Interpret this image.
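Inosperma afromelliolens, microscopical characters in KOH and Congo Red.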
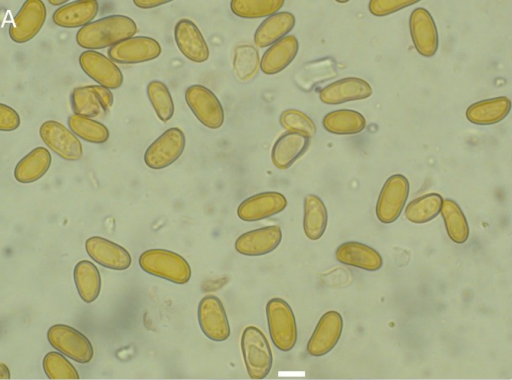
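These are basidiospores of a mushroom, scattered singly across the field. They are smooth and ellipsoid to somewhat bean-shaped, all of similar size, with distinct yellowish-brown walls. Many hold one or more refractive droplets inside, and a few pale, collapsed or empty spores lie among them.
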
